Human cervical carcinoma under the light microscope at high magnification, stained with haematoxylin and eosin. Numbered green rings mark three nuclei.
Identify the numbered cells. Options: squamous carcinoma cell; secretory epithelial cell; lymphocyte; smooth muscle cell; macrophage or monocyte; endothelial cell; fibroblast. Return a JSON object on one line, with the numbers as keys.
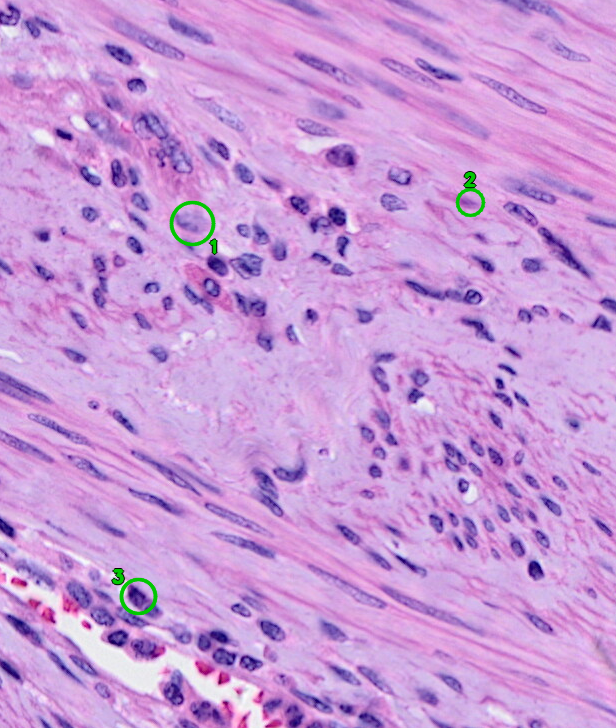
{"1": "endothelial cell", "2": "smooth muscle cell", "3": "lymphocyte"}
